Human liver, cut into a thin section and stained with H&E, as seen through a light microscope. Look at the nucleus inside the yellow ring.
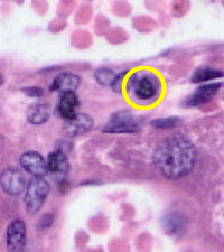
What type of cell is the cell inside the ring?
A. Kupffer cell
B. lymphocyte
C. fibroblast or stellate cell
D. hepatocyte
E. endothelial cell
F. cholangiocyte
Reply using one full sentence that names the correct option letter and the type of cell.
On this slide, the cell inside the ring is a cholangiocyte, so option F is right.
